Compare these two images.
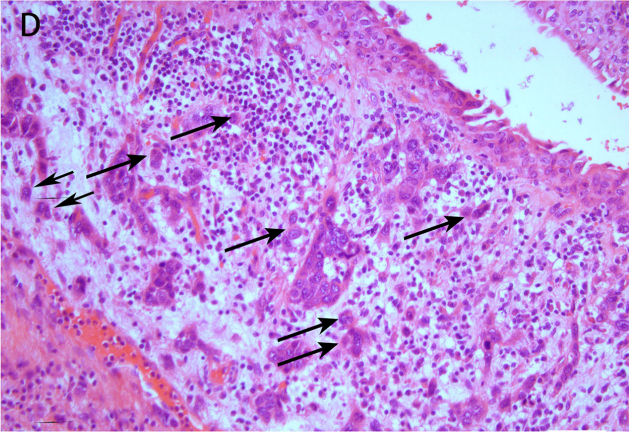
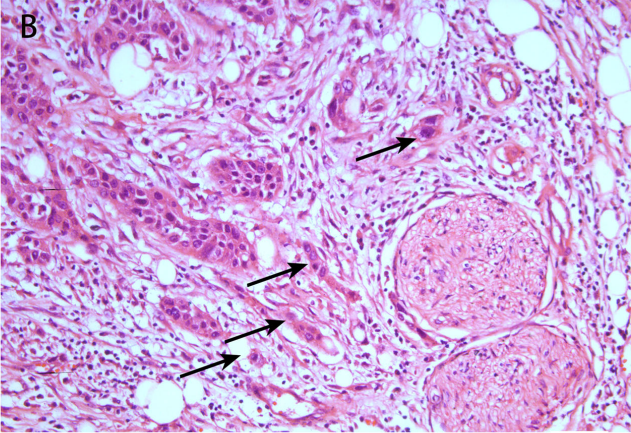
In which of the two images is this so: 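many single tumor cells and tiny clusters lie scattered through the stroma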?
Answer: The first image.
